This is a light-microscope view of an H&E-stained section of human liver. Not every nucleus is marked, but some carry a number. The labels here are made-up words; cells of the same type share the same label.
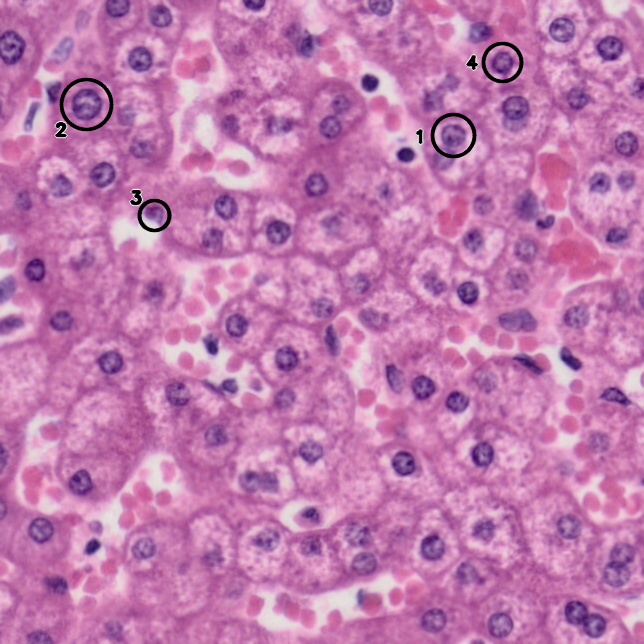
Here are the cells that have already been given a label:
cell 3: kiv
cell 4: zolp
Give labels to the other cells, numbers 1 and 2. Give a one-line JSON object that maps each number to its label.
{"1": "zolp", "2": "zolp"}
